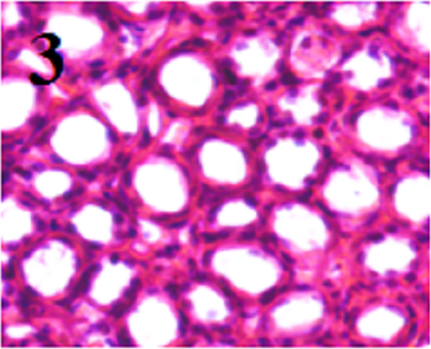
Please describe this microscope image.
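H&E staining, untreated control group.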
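This is the tubular region of the kidney, seen in cross-section. The field is tiled with round and slightly oval tubules, each showing a clear white lumen in its centre. Every tubule is lined by a single ring of epithelial cells whose cytoplasm stains pink, with small dark purple nuclei set along the ring. The tubules lie close together, separated only by thin strands of tissue carrying a few more nuclei.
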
